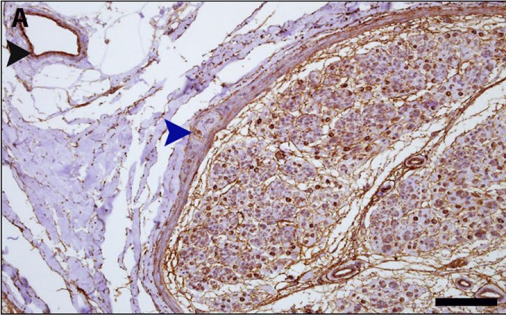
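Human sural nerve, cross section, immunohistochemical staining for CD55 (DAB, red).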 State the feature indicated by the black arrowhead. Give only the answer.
Endothelial blood vessels of the epineurium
